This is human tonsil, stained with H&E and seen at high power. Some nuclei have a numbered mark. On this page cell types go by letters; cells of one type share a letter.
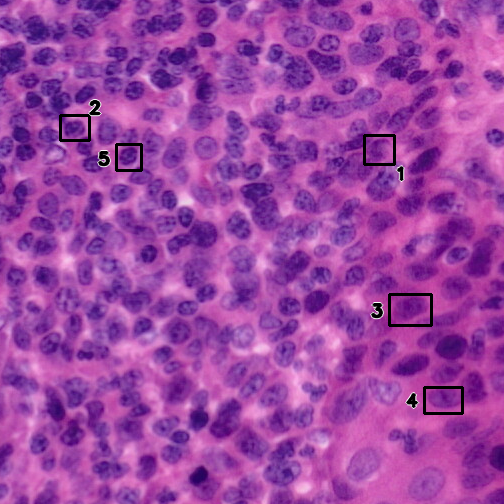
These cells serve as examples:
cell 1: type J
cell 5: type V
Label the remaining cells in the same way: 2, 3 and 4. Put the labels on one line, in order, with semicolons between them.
type V; type J; type J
